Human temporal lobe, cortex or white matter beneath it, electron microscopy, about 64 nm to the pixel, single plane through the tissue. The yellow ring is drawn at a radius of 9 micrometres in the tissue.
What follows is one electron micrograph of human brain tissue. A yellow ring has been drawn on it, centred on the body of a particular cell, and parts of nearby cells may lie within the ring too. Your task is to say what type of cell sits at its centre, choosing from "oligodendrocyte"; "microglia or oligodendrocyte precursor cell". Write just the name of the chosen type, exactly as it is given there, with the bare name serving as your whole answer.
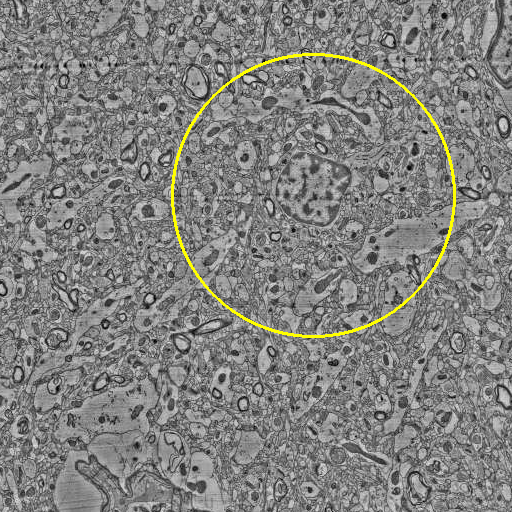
microglia or oligodendrocyte precursor cell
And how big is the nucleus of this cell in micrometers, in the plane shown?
About 5 micrometres across in this plane, for the nucleus.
